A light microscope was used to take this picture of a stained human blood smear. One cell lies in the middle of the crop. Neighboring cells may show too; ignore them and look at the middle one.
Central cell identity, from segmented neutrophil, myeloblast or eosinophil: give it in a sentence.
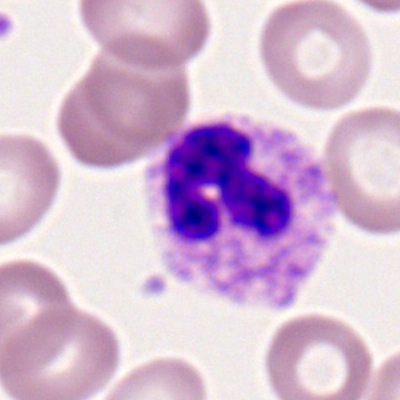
The cell at the centre of the field is a segmented neutrophil.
